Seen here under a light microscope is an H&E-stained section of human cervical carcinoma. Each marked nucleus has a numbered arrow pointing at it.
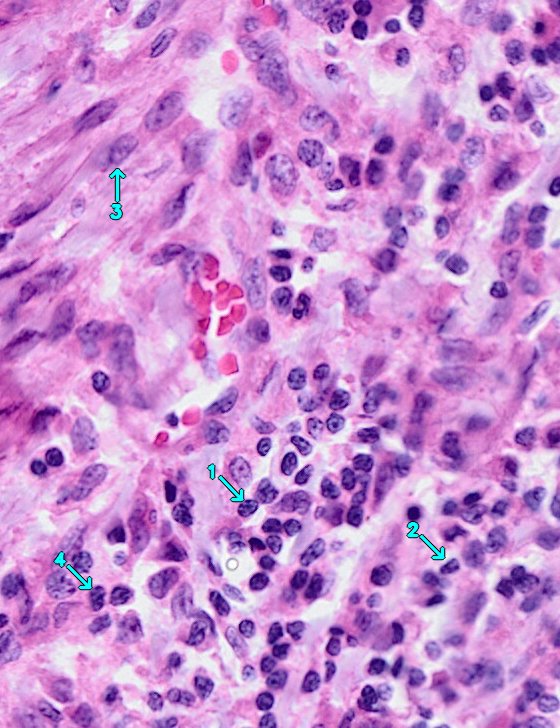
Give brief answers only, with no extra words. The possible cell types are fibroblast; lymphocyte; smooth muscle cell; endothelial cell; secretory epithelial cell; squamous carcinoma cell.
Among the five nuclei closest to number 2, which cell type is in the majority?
lymphocyte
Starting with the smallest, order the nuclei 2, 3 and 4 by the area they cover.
2, 4, 3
